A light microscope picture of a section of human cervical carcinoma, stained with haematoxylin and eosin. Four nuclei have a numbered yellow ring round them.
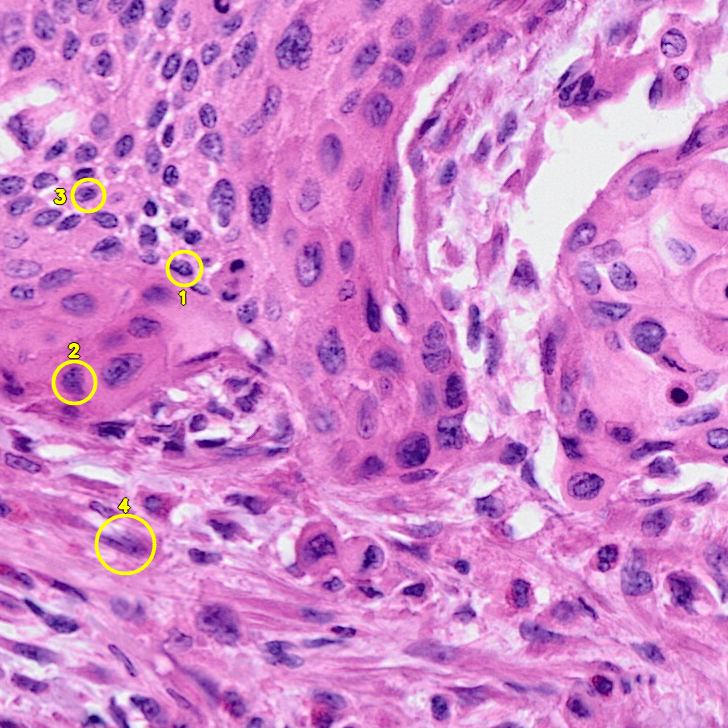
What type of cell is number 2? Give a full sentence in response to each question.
The cell that is numbered 2 is a squamous carcinoma cell.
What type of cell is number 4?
The identity of cell 4 is that of a fibroblast.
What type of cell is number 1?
The cell that goes by number 1 is a squamous carcinoma cell.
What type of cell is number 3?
Recognised here as a squamous carcinoma cell is the cell numbered 3.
